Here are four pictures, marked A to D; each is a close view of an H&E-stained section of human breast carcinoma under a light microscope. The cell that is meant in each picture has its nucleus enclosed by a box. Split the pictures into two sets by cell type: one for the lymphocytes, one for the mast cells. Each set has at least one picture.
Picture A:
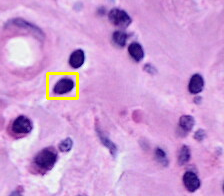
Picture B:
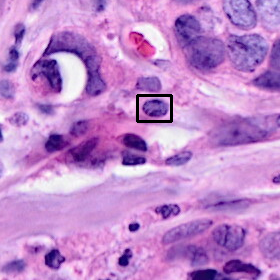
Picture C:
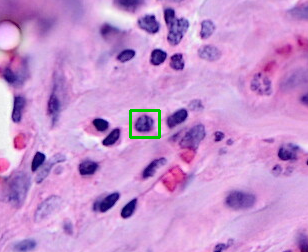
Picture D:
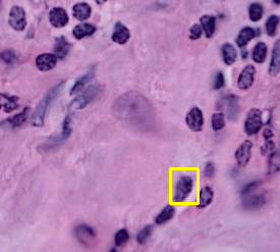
A: lymphocyte
B: mast cell
C: mast cell
D: lymphocyte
